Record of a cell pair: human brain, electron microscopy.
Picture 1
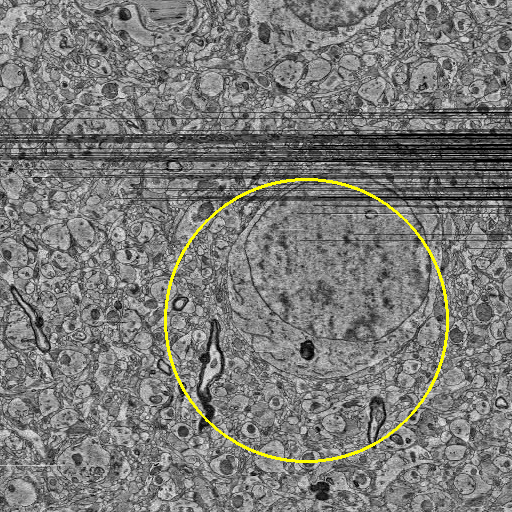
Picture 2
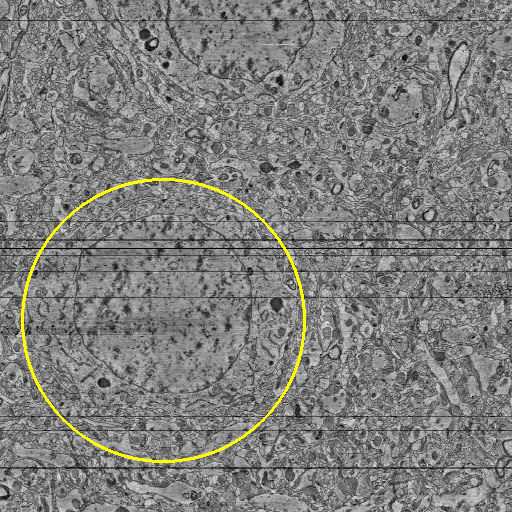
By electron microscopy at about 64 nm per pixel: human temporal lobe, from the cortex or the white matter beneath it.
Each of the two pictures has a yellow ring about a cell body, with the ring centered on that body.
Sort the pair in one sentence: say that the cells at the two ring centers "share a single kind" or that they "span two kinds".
The cells centered in the rings of Pictures 1 and 2 share a single kind.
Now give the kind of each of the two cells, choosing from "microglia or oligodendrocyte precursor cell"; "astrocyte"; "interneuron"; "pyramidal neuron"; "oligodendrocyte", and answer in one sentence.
Each of the two pictures has a pyramidal neuron at the ring centre.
